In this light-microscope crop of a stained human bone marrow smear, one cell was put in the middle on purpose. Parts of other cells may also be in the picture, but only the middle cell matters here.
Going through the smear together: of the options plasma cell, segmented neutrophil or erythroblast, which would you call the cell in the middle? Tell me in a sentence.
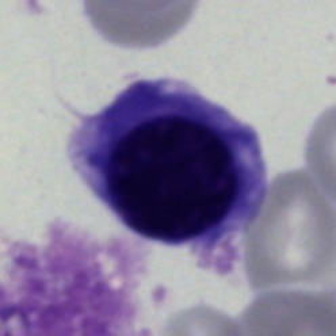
The identification for the central cell is an erythroblast.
